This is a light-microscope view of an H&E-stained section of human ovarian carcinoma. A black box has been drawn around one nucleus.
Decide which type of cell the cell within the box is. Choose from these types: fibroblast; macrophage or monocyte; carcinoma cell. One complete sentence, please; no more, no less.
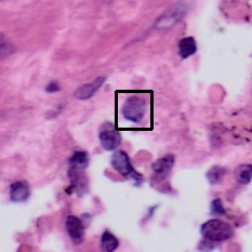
On this particular slide, the cell within the box is a macrophage or monocyte.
